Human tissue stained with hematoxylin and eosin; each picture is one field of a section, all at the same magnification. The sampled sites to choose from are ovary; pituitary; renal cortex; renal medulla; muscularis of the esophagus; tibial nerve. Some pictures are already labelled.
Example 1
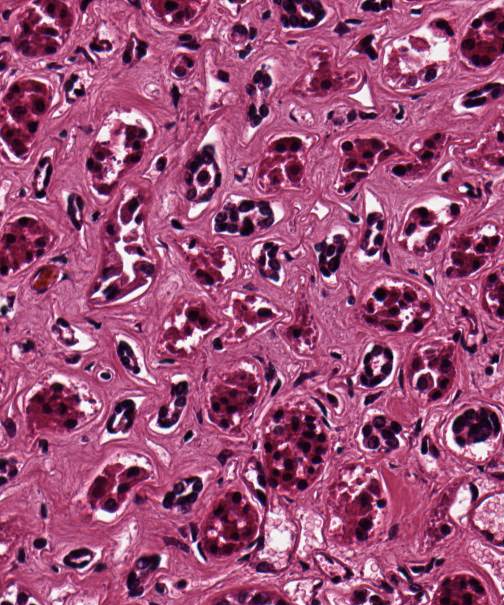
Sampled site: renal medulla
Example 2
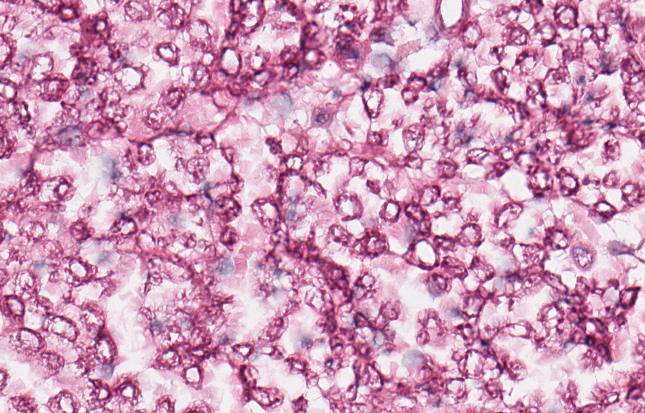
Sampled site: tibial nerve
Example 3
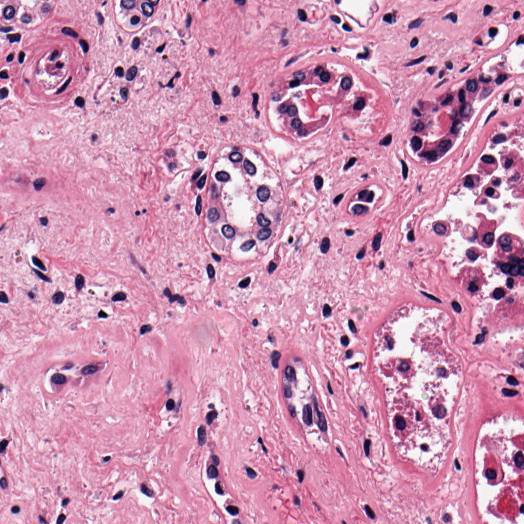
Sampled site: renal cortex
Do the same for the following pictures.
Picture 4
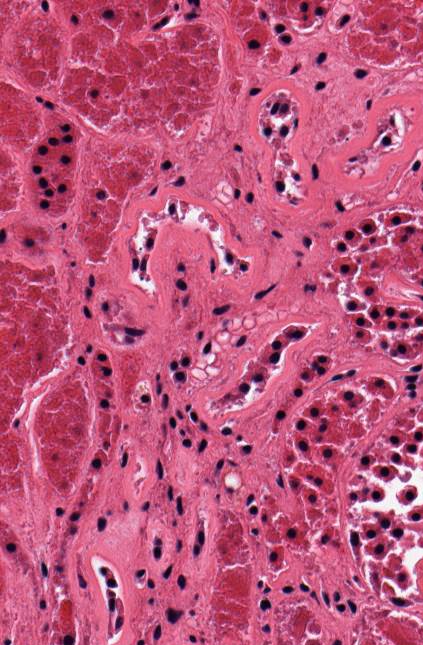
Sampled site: renal cortex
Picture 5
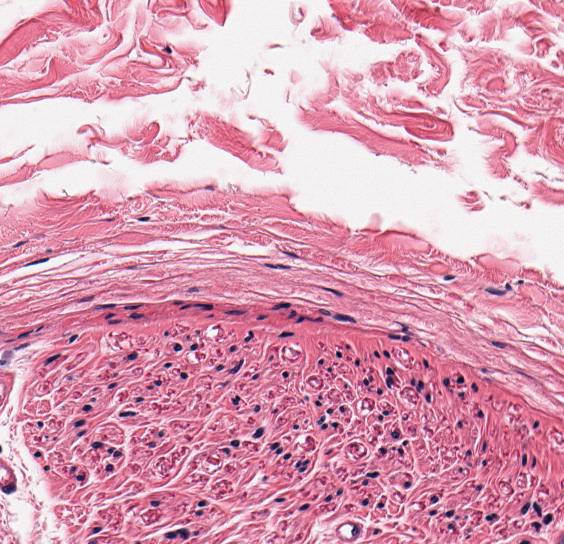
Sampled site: tibial nerve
